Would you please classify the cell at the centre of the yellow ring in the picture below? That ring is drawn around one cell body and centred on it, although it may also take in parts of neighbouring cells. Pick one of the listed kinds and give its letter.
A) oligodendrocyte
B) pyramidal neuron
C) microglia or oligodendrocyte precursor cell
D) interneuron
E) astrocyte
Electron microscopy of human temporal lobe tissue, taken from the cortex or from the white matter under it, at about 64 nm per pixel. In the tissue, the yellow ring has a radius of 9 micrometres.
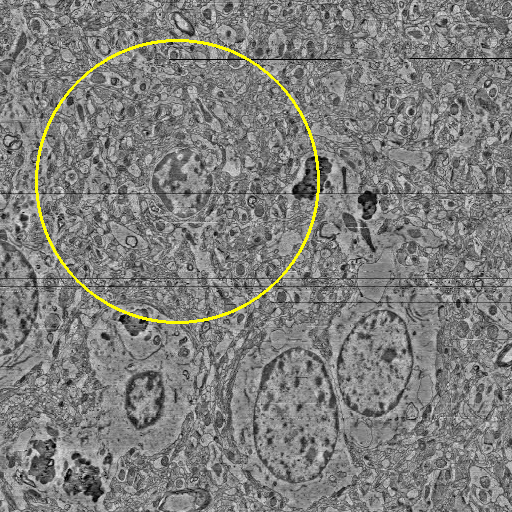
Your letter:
C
